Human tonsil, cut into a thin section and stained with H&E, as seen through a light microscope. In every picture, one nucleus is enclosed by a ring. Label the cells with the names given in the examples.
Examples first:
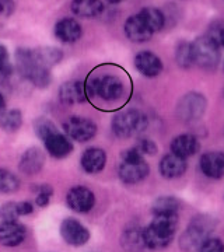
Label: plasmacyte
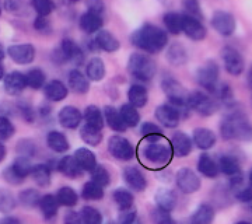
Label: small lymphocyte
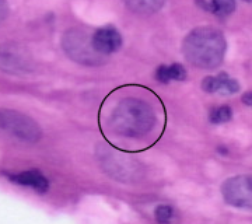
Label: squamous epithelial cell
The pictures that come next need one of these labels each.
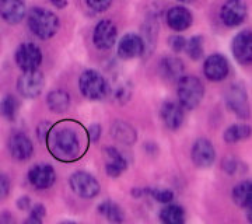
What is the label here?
plasmacyte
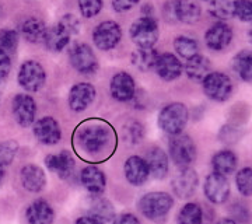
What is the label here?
plasmacyte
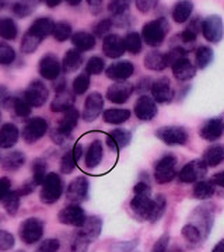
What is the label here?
small lymphocyte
